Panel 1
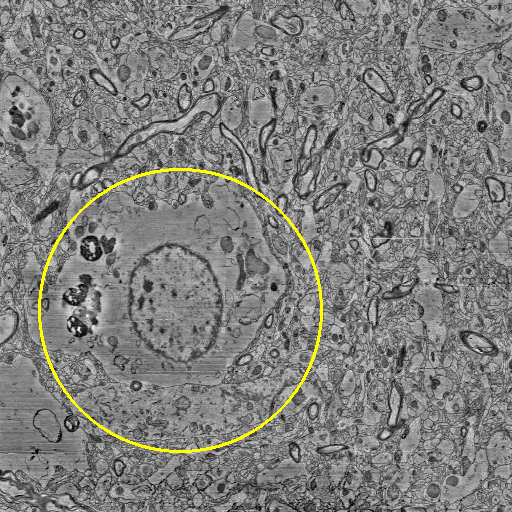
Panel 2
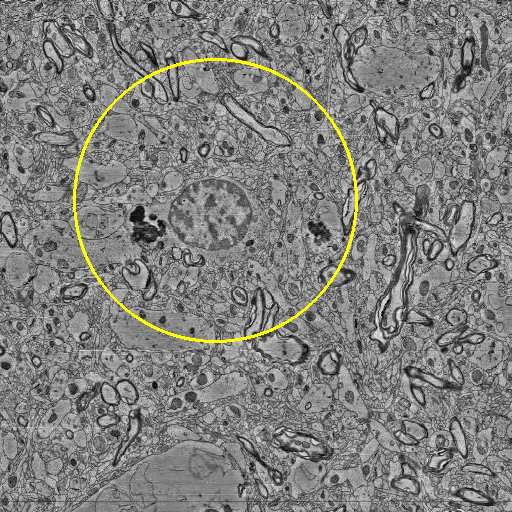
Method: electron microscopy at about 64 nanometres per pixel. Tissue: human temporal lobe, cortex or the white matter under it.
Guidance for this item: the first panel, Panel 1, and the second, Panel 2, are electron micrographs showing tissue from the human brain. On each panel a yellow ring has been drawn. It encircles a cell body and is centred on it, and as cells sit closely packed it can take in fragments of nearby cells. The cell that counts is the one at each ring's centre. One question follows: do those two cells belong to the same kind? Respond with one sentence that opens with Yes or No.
No, the cells at the ring centres in Panel 1 and Panel 2 are of two kinds.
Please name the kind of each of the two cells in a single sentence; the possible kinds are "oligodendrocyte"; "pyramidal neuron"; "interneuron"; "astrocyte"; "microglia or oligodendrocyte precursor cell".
In the first picture the ring is centred on an astrocyte, and in the second on an oligodendrocyte.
